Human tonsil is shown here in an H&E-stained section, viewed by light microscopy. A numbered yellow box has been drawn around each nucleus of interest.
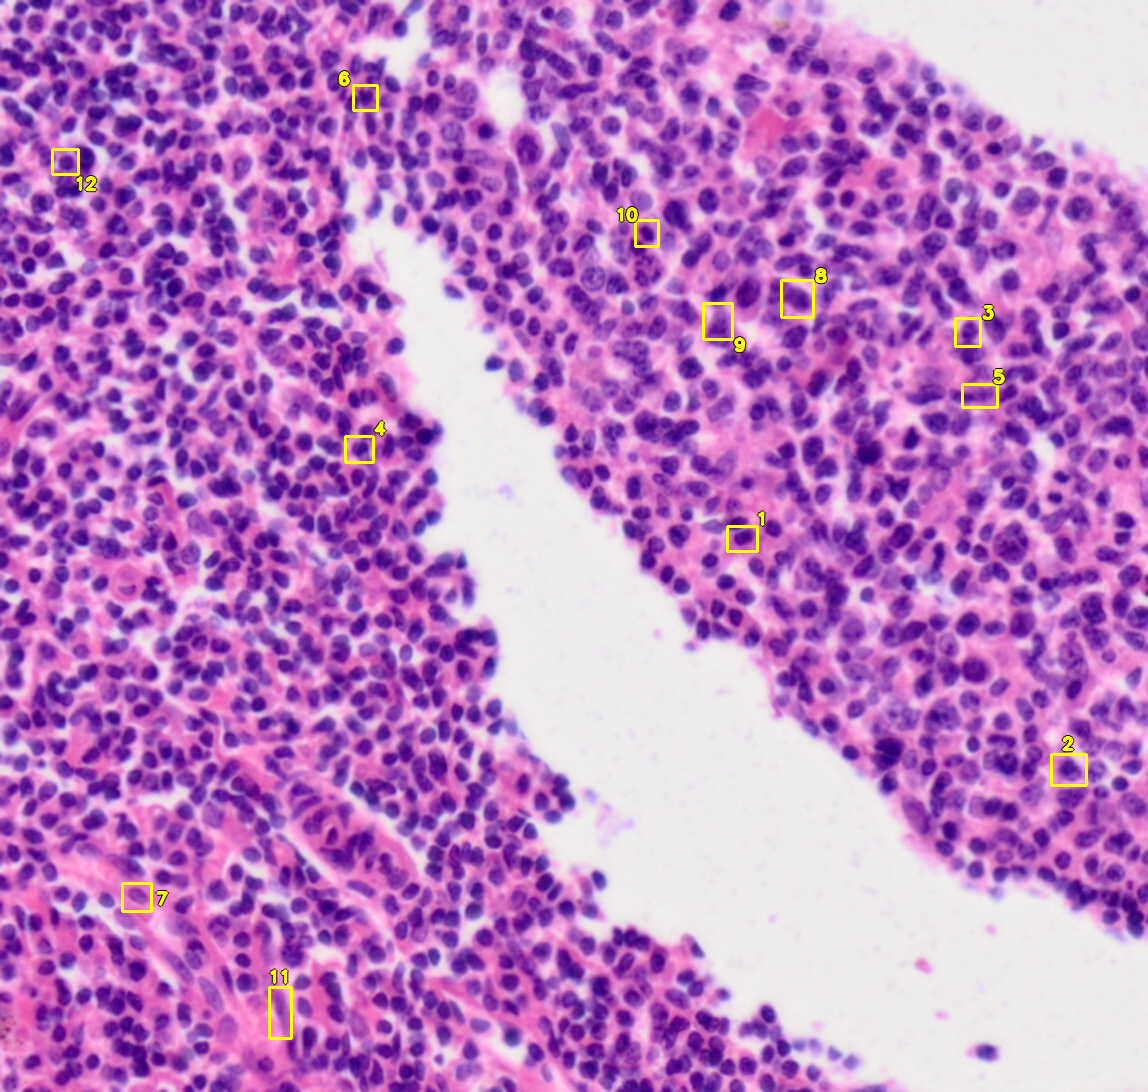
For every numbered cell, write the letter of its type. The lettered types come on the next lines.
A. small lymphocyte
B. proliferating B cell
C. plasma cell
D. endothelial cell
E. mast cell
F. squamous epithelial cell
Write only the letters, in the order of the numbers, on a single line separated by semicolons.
C; B; B; A; B; A; D; B; B; B; D; A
